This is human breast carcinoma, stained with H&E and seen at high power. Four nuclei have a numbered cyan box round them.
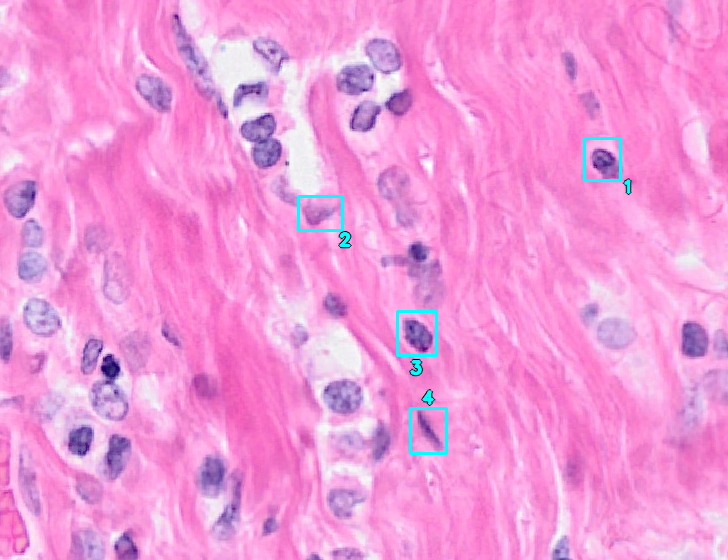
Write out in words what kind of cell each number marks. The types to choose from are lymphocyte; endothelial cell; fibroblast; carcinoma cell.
Cells 1 and 3 are lymphocytes. Cells 2 and 4 are fibroblasts.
